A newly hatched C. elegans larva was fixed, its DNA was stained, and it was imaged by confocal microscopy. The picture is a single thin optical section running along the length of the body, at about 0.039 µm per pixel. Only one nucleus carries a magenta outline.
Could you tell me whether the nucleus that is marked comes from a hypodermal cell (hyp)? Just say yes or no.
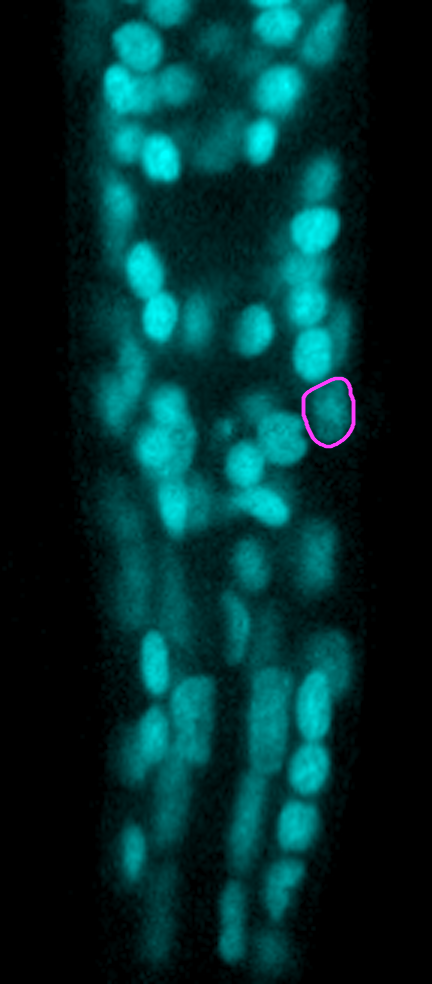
yes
